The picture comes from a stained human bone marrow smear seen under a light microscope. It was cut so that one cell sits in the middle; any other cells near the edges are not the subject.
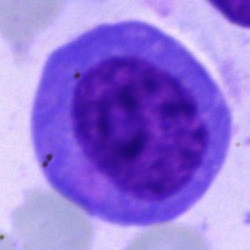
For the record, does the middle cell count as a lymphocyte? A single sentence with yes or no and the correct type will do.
No, the correct answer for the middle cell is a blast, not a lymphocyte.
